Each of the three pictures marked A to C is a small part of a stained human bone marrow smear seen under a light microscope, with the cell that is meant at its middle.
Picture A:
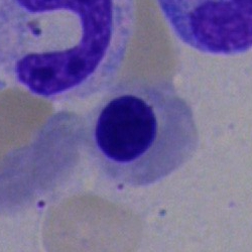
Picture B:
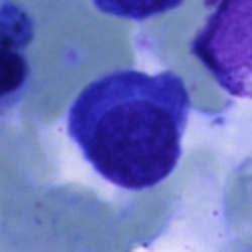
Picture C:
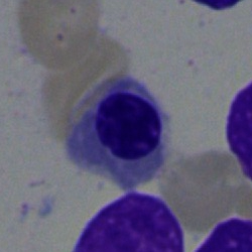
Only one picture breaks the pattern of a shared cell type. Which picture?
B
